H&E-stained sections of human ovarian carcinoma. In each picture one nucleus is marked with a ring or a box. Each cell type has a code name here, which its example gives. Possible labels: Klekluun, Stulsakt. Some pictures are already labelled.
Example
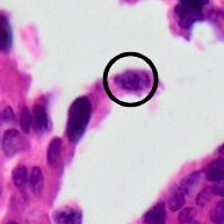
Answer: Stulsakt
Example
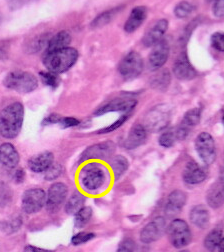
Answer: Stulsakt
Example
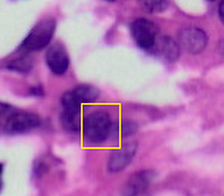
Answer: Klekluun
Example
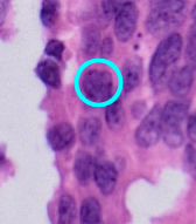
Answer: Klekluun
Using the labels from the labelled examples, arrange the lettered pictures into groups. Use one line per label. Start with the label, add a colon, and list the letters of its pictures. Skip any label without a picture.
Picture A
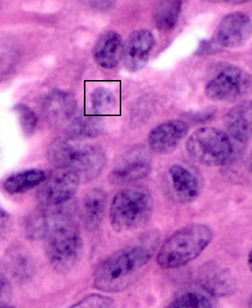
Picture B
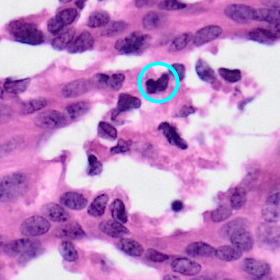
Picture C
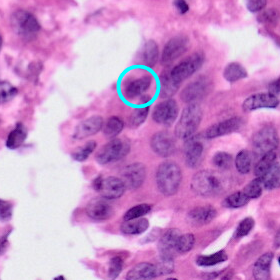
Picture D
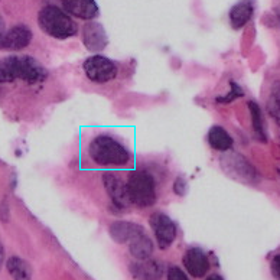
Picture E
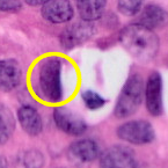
Klekluun: D, E
Stulsakt: A, B, C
